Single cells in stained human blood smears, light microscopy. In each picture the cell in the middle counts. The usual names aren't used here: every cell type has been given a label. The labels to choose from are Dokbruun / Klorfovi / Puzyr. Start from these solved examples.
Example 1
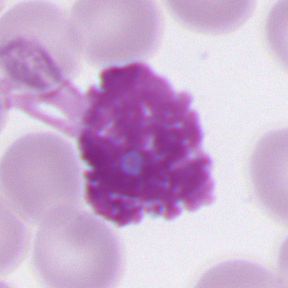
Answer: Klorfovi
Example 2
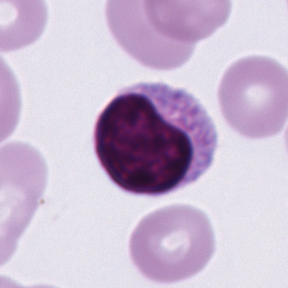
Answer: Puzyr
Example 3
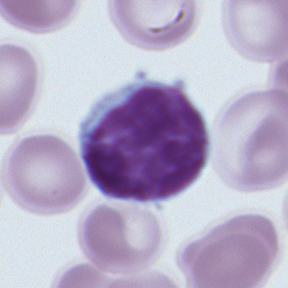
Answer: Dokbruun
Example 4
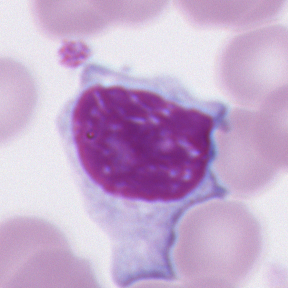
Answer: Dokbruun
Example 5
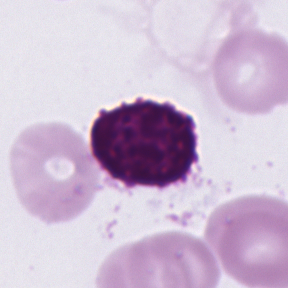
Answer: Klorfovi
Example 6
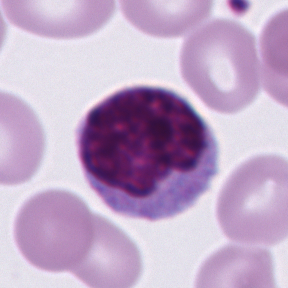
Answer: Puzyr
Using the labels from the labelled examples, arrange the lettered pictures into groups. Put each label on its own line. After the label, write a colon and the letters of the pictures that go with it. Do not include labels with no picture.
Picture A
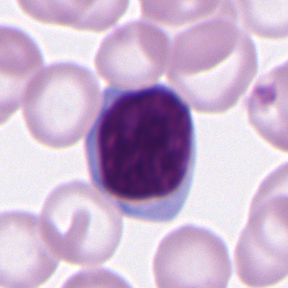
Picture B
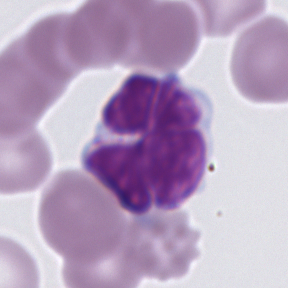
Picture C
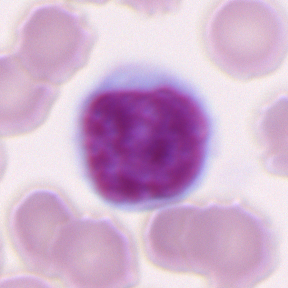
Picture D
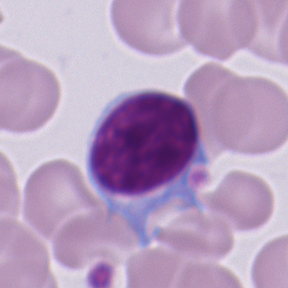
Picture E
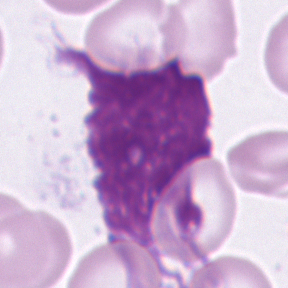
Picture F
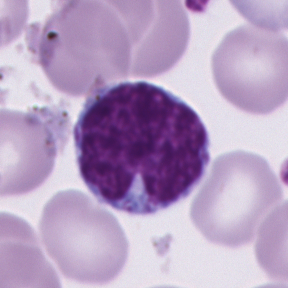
Dokbruun: A, C, D, F
Klorfovi: E
Puzyr: B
